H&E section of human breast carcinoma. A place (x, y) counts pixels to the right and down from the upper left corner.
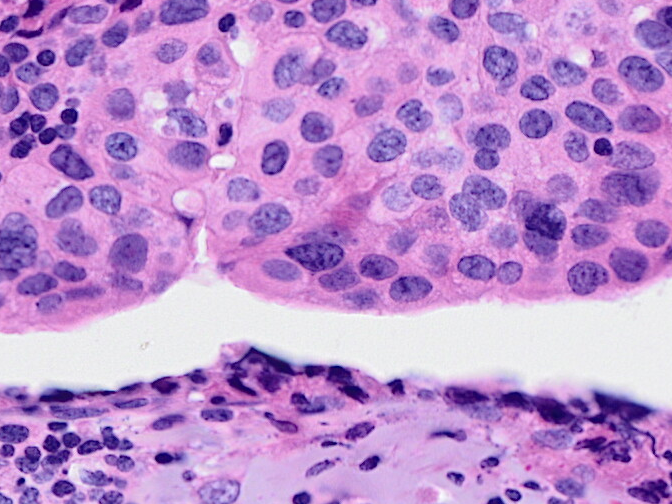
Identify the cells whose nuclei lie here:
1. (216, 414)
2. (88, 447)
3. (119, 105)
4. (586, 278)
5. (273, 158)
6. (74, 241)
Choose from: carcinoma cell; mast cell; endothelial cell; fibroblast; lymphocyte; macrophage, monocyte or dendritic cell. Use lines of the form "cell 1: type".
cell 1: mast cell
cell 2: lymphocyte
cell 3: carcinoma cell
cell 4: carcinoma cell
cell 5: carcinoma cell
cell 6: carcinoma cell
